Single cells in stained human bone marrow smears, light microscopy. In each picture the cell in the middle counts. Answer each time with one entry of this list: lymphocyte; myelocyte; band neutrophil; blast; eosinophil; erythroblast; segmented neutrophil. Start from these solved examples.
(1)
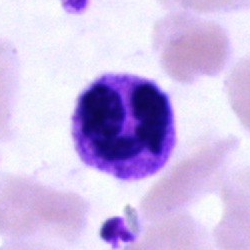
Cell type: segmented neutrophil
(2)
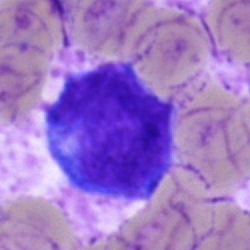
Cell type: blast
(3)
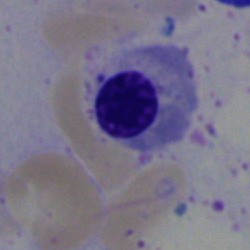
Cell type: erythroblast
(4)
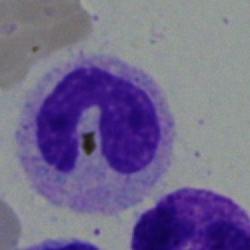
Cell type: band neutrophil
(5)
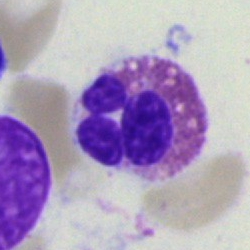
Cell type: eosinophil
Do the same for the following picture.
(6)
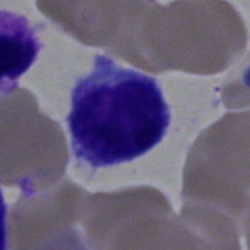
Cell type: lymphocyte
